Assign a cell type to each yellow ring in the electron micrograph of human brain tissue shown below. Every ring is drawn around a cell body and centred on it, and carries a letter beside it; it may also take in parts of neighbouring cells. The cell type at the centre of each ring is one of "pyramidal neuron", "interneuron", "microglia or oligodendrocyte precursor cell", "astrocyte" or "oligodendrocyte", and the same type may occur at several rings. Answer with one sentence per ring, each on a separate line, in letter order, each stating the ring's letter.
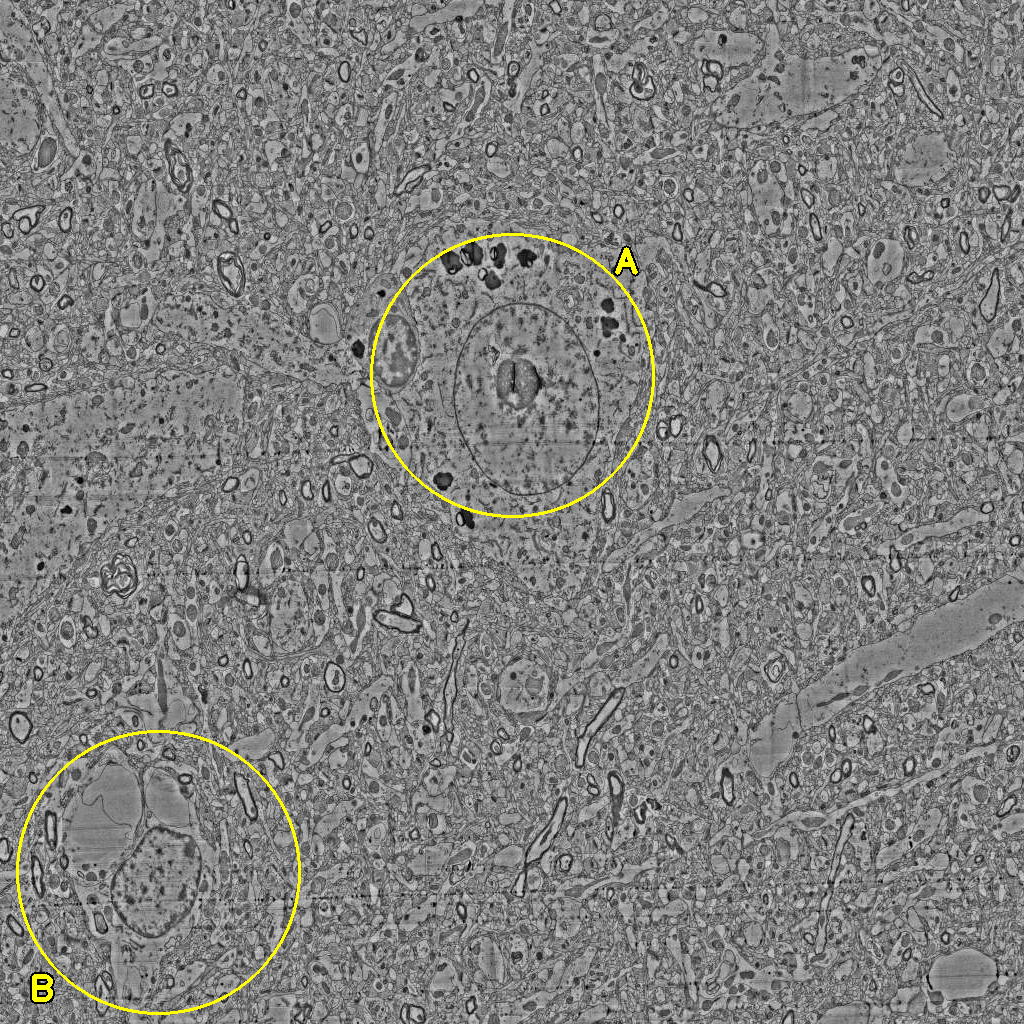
The cell at ring A's centre is a pyramidal neuron.
The cell at ring B's centre is a microglial cell or oligodendrocyte precursor cell.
